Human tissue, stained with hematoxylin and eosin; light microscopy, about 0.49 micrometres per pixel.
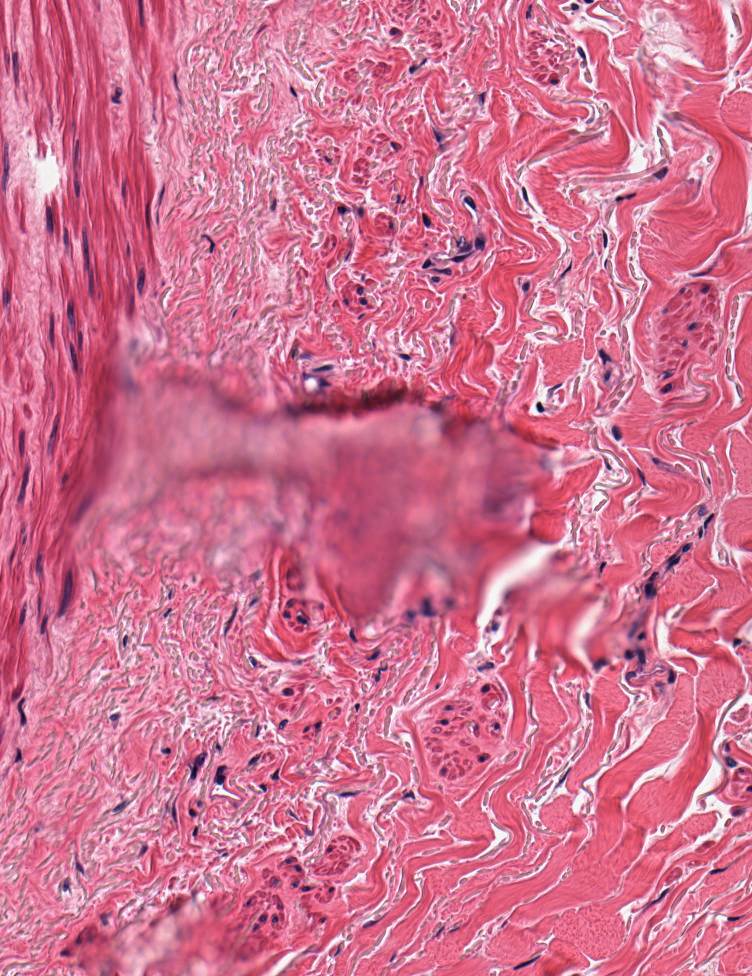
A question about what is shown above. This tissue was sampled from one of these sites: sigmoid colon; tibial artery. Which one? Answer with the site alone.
tibial artery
